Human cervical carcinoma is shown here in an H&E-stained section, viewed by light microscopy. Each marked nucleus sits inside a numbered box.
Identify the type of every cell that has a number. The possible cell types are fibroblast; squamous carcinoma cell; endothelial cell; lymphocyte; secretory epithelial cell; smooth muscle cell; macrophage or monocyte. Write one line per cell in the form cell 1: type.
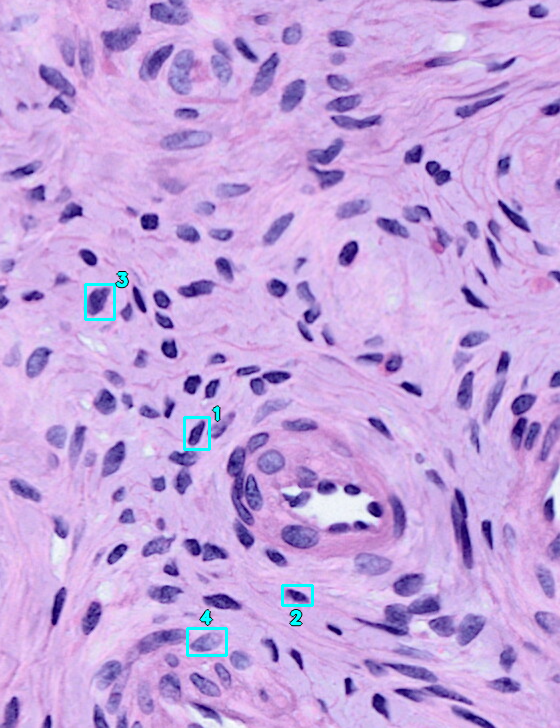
cell 1: fibroblast
cell 2: fibroblast
cell 3: fibroblast
cell 4: smooth muscle cell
